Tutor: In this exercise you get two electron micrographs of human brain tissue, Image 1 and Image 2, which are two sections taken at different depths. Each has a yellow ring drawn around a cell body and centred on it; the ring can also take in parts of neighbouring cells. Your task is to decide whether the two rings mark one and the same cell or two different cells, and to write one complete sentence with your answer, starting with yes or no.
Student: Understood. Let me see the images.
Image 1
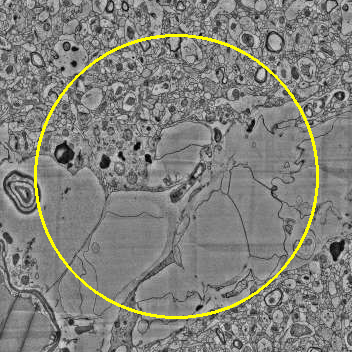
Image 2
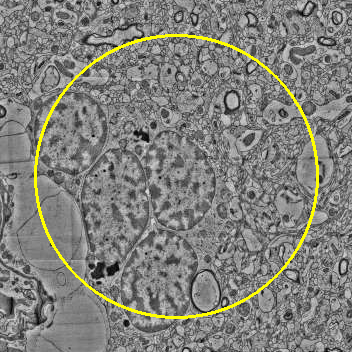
Yes, the two yellow circles hold the same cell.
